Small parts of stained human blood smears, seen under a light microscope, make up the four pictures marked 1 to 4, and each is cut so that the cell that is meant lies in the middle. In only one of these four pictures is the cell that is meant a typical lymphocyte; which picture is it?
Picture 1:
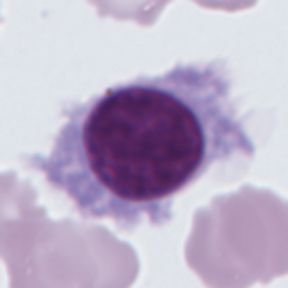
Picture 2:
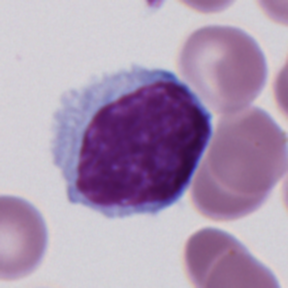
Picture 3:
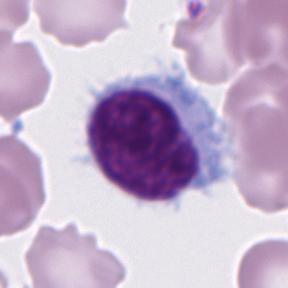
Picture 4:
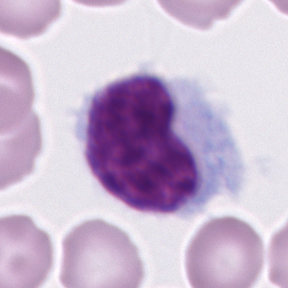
2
